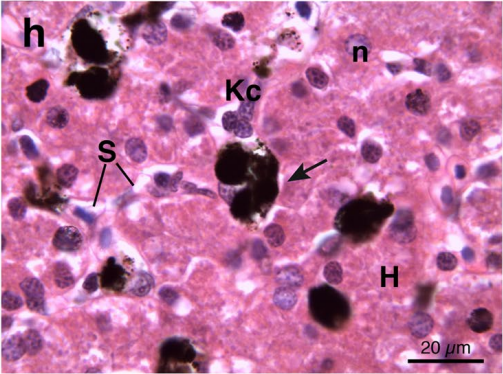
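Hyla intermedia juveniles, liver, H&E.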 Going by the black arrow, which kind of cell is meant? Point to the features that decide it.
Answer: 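The arrow points at a cluster of large cells filled with dense black pigment. The cluster sits between hepatocytes with pink cytoplasm and round nuclei.
Hence: melanomacrophages complex.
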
